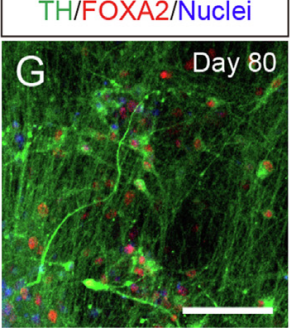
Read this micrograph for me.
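A culture of neuronal cells is shown with a dense meshwork of thin green fibres running across the whole field. Scattered green cell bodies give rise to these fibres, and many small red nuclei lie among them, several within the green cell bodies.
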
